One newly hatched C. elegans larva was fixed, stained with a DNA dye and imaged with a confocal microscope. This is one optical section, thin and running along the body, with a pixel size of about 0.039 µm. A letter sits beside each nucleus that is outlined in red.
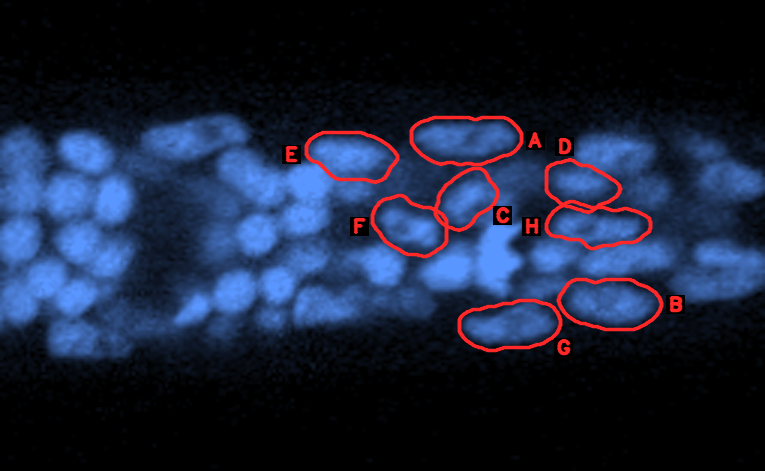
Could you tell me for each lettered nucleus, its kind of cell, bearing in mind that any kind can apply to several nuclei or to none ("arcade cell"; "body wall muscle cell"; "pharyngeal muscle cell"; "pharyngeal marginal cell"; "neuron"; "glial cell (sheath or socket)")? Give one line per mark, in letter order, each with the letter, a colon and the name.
A: body wall muscle cell
B: body wall muscle cell
C: pharyngeal marginal cell
D: arcade cell
E: neuron
F: pharyngeal muscle cell
G: body wall muscle cell
H: pharyngeal muscle cell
